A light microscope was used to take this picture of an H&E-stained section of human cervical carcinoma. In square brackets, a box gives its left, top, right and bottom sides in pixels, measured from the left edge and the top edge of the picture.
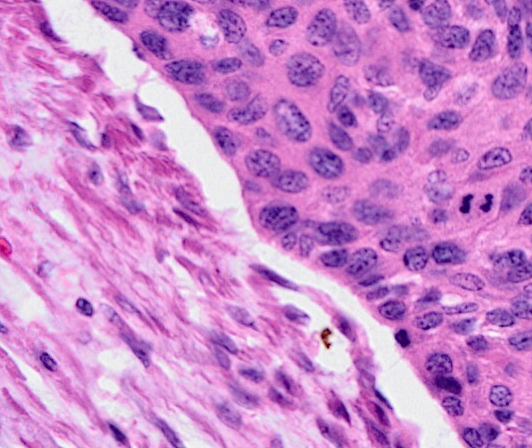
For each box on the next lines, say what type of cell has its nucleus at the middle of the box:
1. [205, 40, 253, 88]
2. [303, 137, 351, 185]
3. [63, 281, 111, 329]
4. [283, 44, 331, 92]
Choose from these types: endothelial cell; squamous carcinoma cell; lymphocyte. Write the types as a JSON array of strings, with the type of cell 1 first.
["squamous carcinoma cell", "squamous carcinoma cell", "lymphocyte", "squamous carcinoma cell"]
